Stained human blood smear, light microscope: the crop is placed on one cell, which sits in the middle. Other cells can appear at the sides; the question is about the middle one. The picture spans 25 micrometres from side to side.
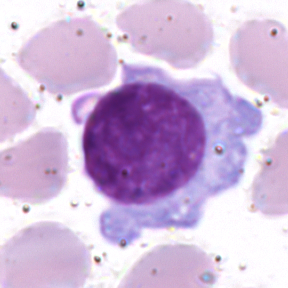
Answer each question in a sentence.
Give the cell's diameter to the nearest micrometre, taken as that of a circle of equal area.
Taken as a circle, the cell has a diameter of about 15 micrometres.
